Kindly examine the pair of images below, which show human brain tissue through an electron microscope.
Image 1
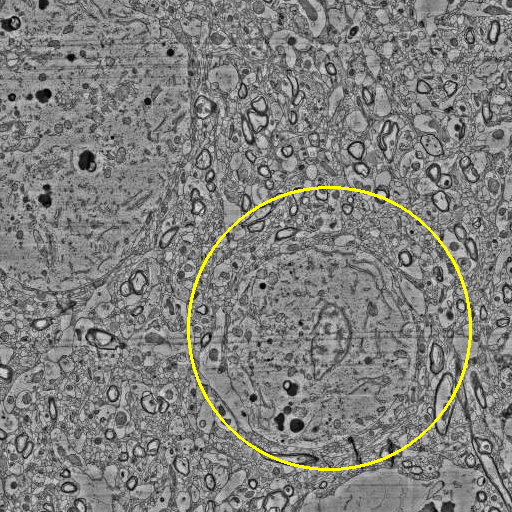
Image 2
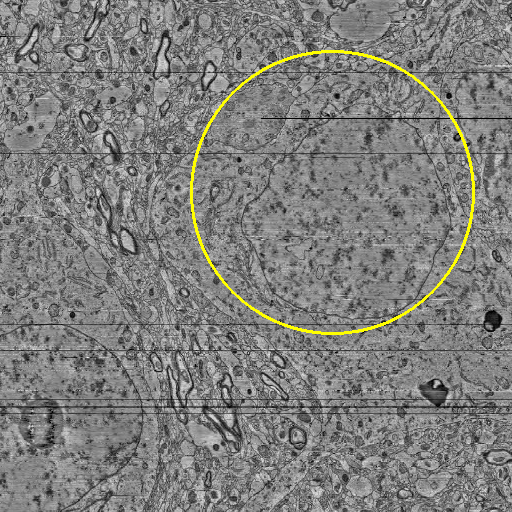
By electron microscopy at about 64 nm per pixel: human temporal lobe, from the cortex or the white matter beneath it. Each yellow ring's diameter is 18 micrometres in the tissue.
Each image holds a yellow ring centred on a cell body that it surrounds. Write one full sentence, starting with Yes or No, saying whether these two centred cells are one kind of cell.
Yes, both cells at the centres of the yellow rings belong to one kind of cell.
